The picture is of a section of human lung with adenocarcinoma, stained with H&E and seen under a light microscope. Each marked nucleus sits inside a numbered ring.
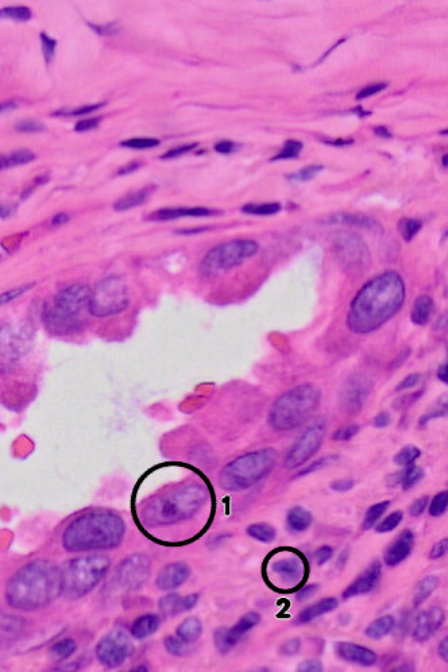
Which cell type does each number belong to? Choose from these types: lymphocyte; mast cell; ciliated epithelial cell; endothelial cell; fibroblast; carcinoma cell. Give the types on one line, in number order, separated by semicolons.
carcinoma cell; lymphocyte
